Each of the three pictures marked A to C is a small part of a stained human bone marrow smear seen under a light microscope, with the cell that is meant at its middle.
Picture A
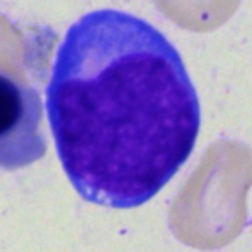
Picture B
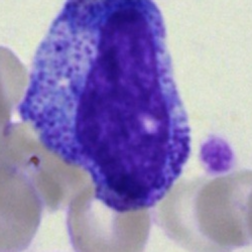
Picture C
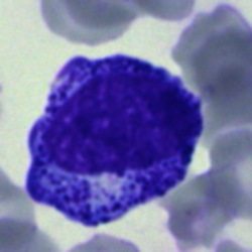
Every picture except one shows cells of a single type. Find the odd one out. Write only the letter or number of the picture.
A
